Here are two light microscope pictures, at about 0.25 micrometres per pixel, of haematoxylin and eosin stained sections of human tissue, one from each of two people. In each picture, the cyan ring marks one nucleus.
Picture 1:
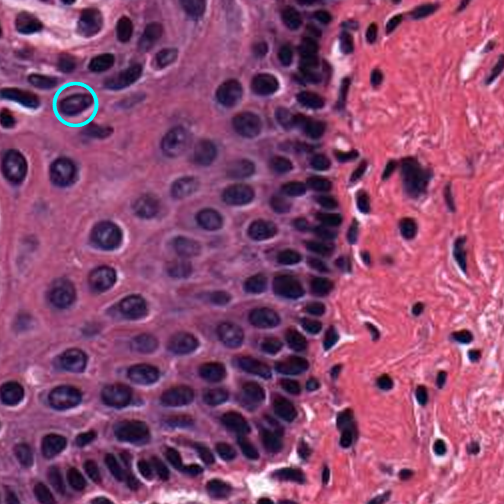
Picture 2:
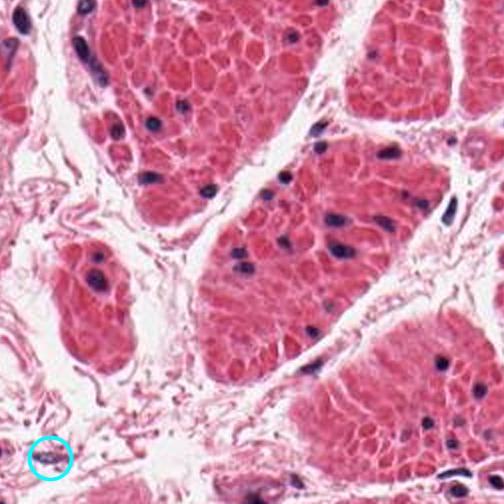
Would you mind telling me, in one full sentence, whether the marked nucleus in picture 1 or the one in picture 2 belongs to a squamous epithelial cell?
In picture 1 alone, the marked nucleus belongs to a squamous epithelial cell.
